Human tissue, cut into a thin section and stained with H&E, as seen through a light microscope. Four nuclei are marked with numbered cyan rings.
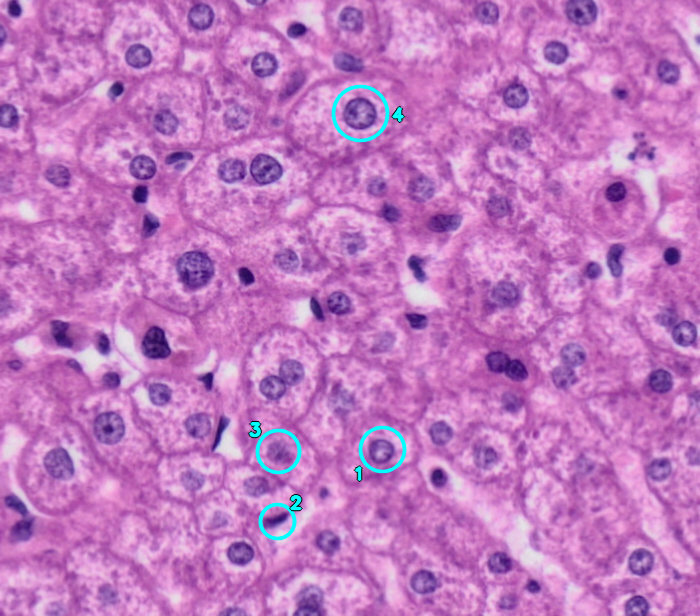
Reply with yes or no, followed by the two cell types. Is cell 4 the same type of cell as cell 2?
No, cell 4 is a hepatocyte, whereas cell 2, for its part, is an endothelial cell.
